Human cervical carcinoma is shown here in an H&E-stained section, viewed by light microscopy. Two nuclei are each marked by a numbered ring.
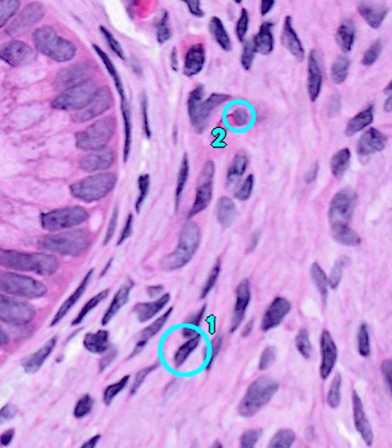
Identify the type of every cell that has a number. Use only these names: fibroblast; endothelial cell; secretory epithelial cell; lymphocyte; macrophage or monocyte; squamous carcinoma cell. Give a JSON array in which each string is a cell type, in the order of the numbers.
["fibroblast", "endothelial cell"]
